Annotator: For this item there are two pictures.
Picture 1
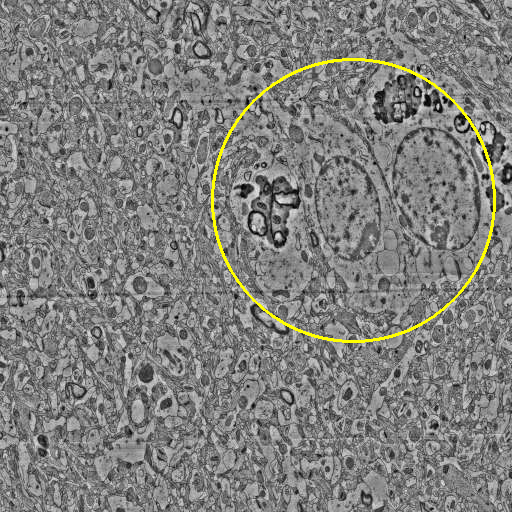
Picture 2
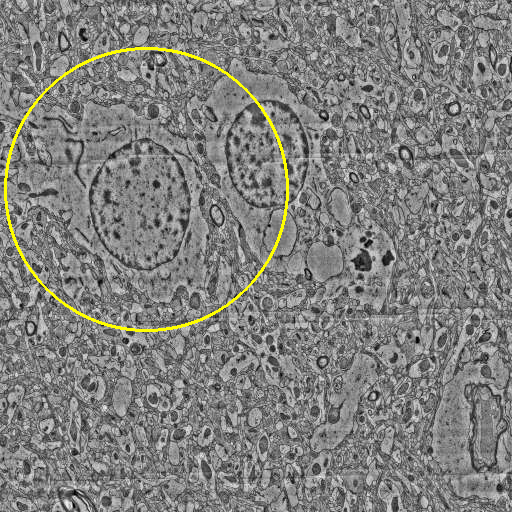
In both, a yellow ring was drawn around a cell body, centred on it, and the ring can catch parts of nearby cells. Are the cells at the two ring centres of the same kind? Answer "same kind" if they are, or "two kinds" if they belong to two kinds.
same kind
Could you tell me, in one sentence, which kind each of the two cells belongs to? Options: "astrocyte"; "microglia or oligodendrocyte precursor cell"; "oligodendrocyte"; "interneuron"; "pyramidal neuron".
Both the first and the second picture show an astrocyte in the ring.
